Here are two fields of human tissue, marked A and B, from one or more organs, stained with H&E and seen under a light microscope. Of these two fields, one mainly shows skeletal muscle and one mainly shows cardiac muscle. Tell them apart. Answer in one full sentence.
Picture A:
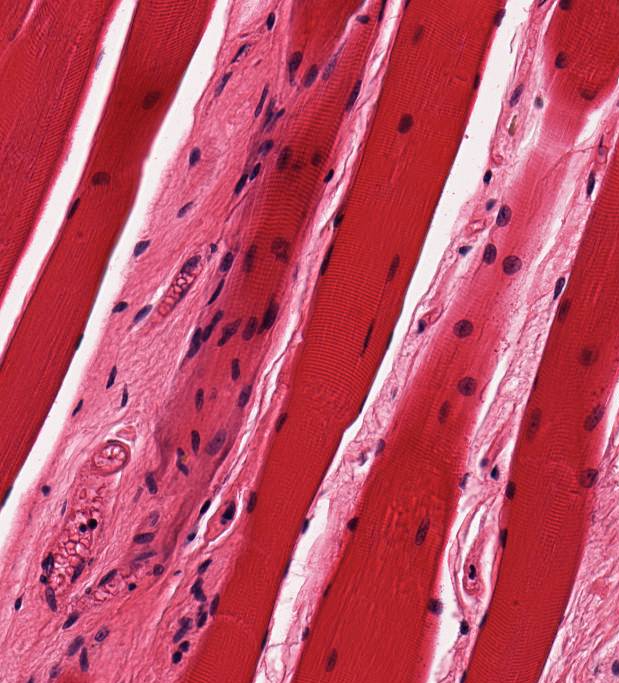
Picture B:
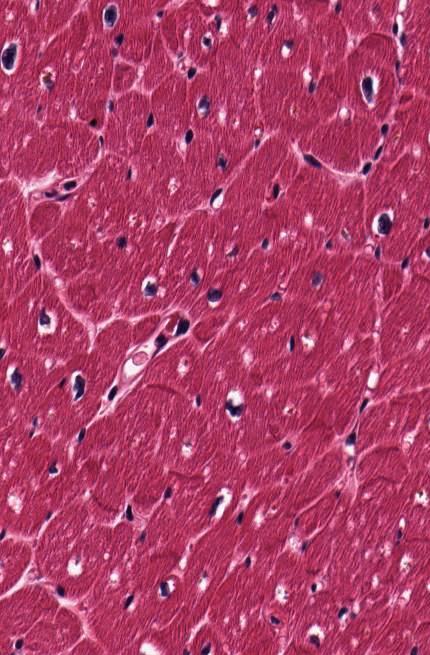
It is picture A that mainly shows skeletal muscle, and picture B that mainly shows cardiac muscle.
